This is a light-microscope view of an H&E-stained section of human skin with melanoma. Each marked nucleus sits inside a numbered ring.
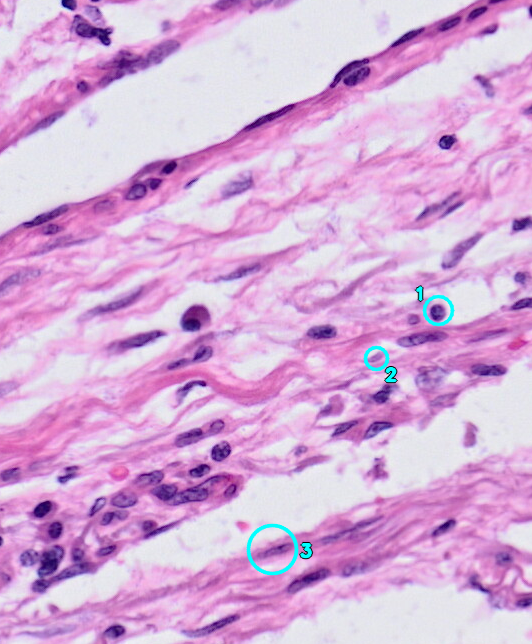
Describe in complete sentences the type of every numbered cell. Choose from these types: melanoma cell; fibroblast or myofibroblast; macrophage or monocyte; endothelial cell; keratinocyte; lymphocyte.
Cell 1 is a lymphocyte. Cell 2 is a fibroblast or myofibroblast. Cell 3 is a macrophage or monocyte.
